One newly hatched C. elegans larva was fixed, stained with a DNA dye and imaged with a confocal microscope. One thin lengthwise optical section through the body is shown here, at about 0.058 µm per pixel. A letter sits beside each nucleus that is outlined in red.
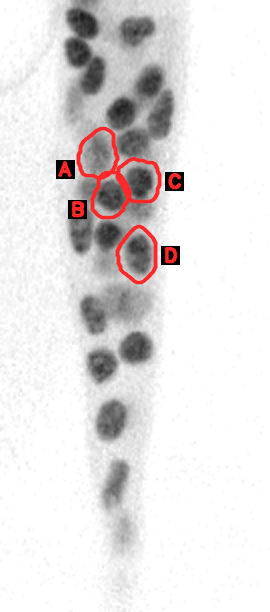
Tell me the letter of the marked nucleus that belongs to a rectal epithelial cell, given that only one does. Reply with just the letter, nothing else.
A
